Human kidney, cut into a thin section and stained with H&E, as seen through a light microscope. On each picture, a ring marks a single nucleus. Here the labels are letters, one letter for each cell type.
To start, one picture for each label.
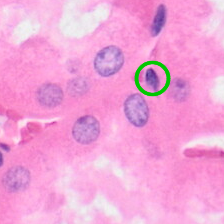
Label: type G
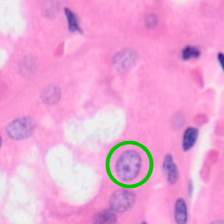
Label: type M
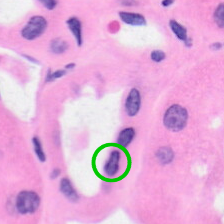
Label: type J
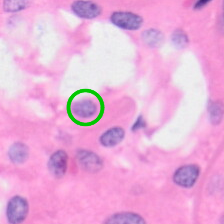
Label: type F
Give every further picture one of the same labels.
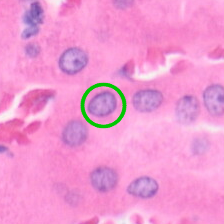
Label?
type M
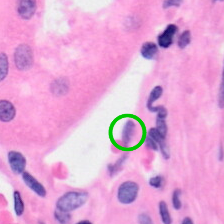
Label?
type G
